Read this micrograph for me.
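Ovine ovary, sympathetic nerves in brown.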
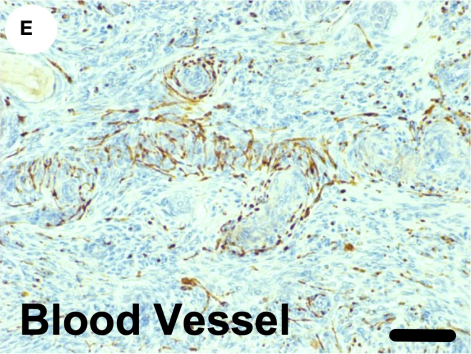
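Thin, wavy brown fibres branch and join into a network that follows the vessel wall along its length. Scattered small brown dots and fibres also run through the surrounding stroma away from the vessel.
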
